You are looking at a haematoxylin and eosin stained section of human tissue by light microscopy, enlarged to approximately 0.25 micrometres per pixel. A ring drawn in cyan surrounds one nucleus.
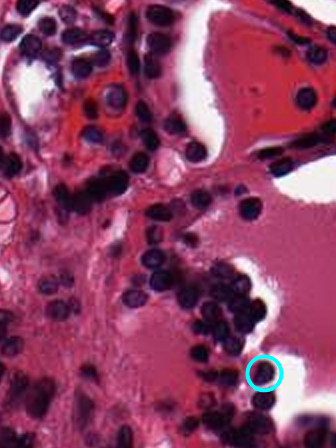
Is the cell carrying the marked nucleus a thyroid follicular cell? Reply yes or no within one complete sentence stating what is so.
Yes, the marked nucleus is held by a thyroid follicular cell.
